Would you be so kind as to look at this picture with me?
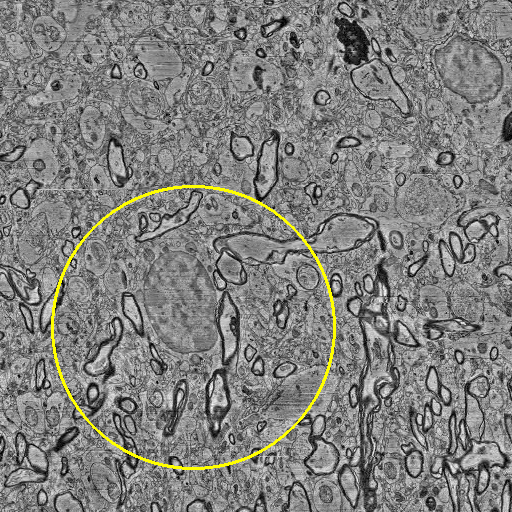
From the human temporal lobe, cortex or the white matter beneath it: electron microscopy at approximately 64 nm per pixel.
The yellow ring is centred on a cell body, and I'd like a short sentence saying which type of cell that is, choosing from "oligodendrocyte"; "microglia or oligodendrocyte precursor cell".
The cell body in the ring belongs to an oligodendrocyte.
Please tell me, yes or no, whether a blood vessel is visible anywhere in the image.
No, none shows.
